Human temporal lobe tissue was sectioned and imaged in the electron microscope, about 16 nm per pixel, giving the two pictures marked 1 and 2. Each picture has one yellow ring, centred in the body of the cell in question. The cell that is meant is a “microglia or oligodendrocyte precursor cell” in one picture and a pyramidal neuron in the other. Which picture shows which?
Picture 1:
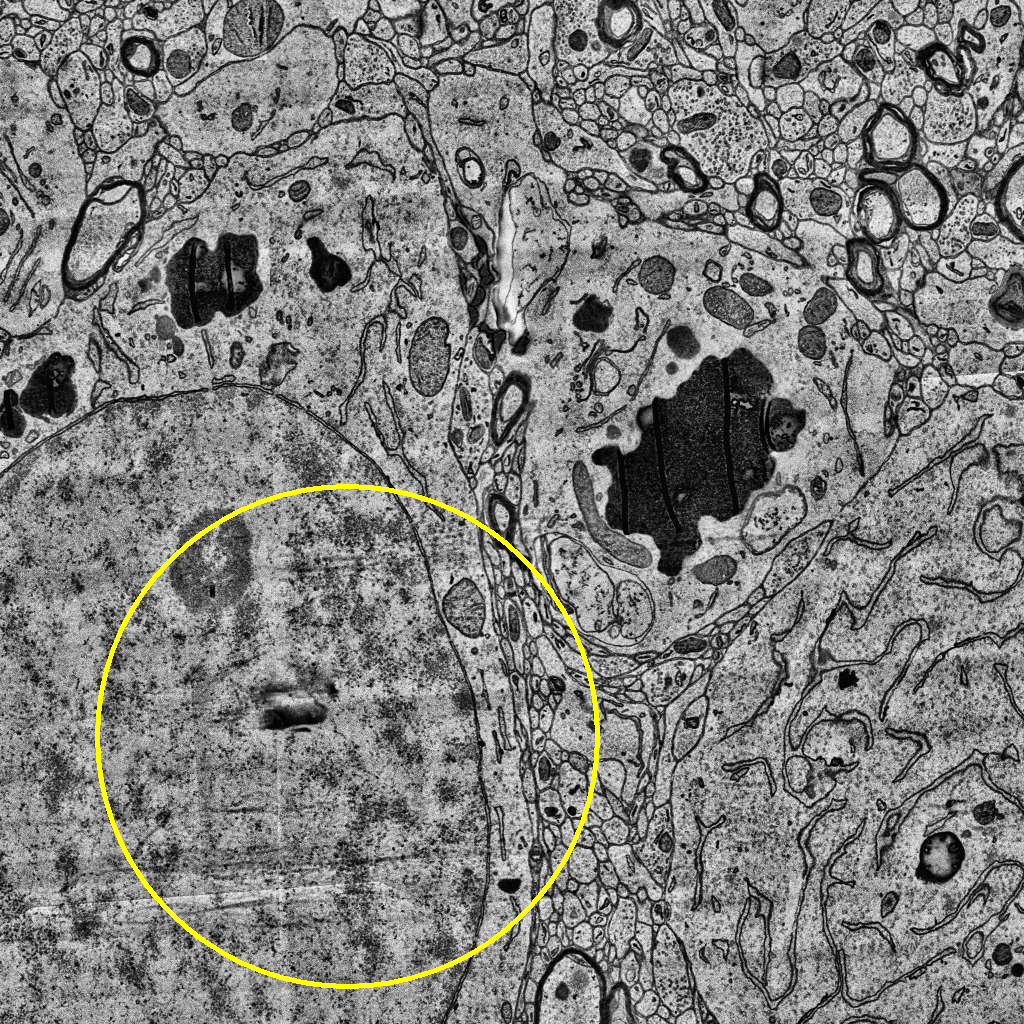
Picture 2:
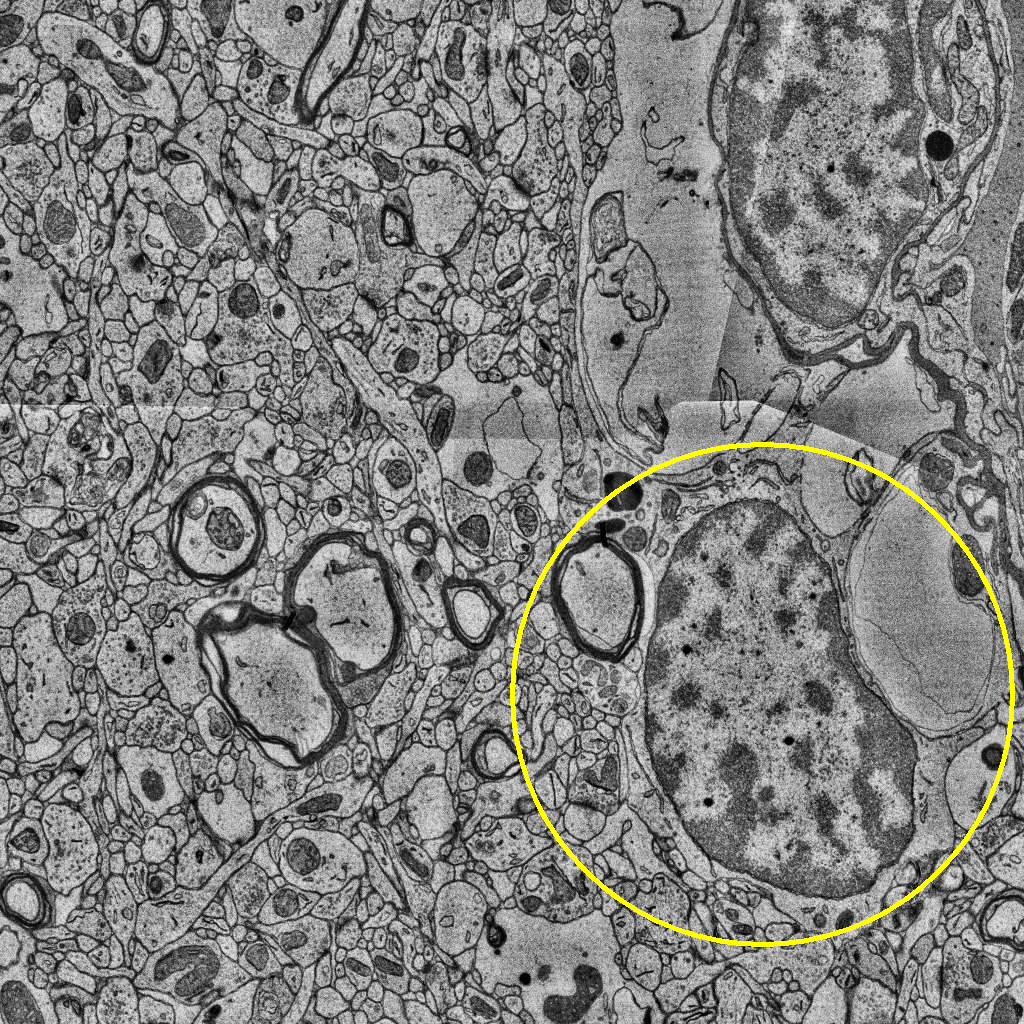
Picture 2 shows a “microglia or oligodendrocyte precursor cell”, while picture 1 shows a pyramidal neuron.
